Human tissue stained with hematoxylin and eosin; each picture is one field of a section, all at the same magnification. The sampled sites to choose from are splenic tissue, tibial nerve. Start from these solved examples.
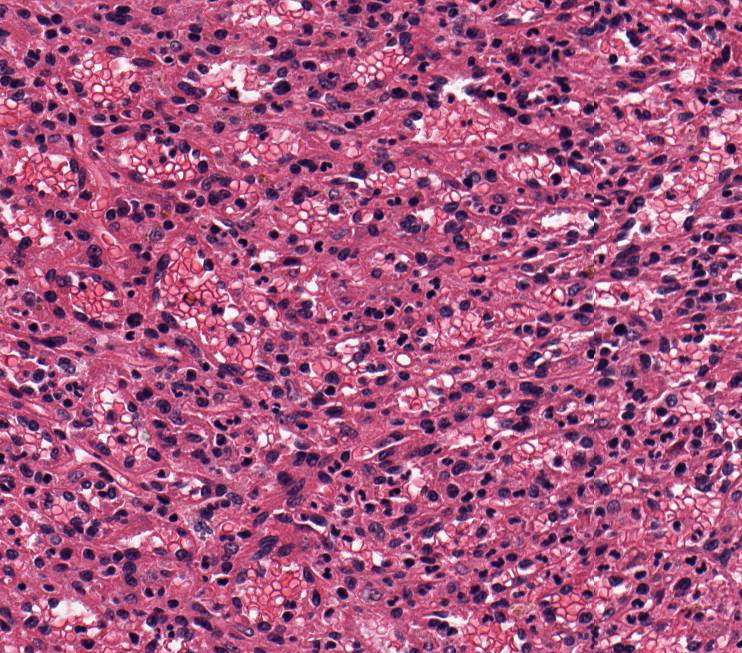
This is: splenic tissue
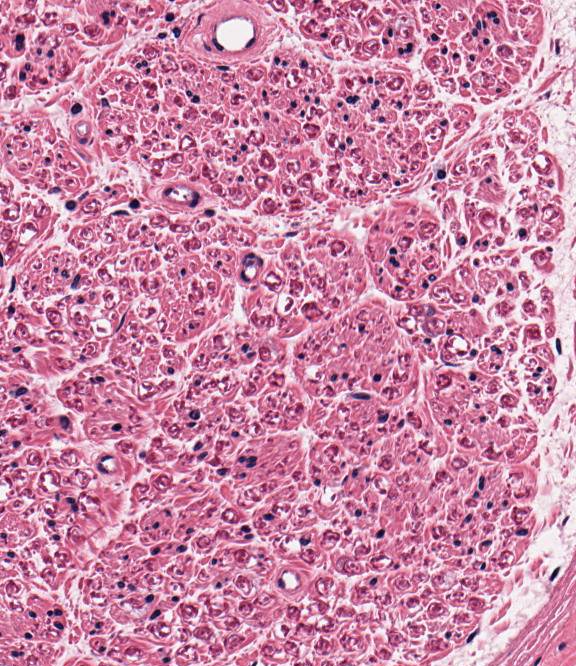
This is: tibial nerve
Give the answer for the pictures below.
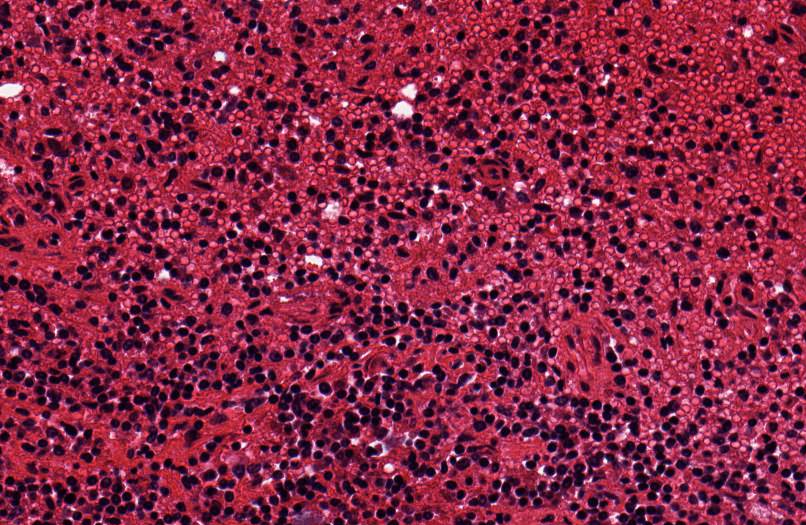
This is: splenic tissue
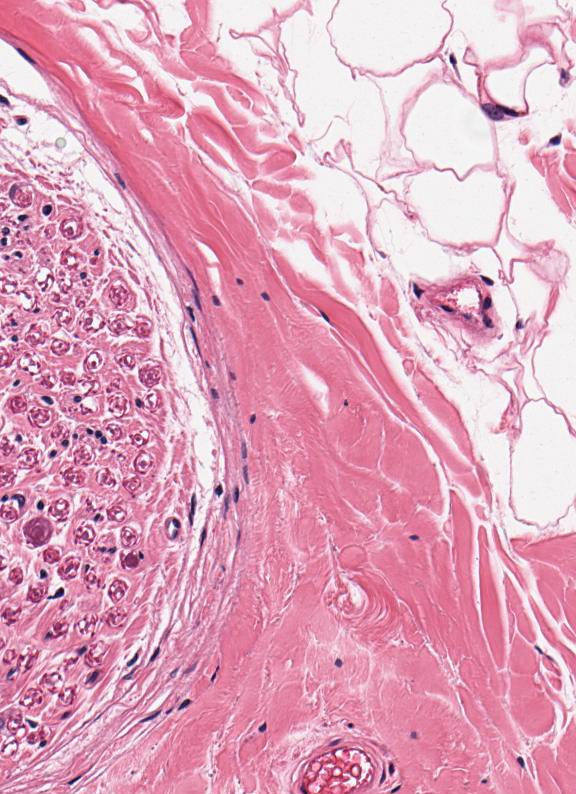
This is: tibial nerve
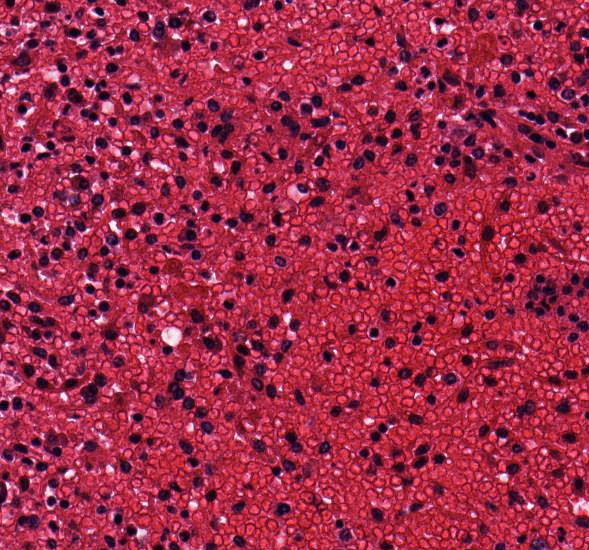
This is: splenic tissue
